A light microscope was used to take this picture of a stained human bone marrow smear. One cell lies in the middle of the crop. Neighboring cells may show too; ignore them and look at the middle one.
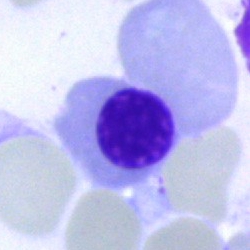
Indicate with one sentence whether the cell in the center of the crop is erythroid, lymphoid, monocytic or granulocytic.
The erythroid lineage is the lineage of the cell in the middle.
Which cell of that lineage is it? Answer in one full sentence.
This particular crop is centered on an erythroblast.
